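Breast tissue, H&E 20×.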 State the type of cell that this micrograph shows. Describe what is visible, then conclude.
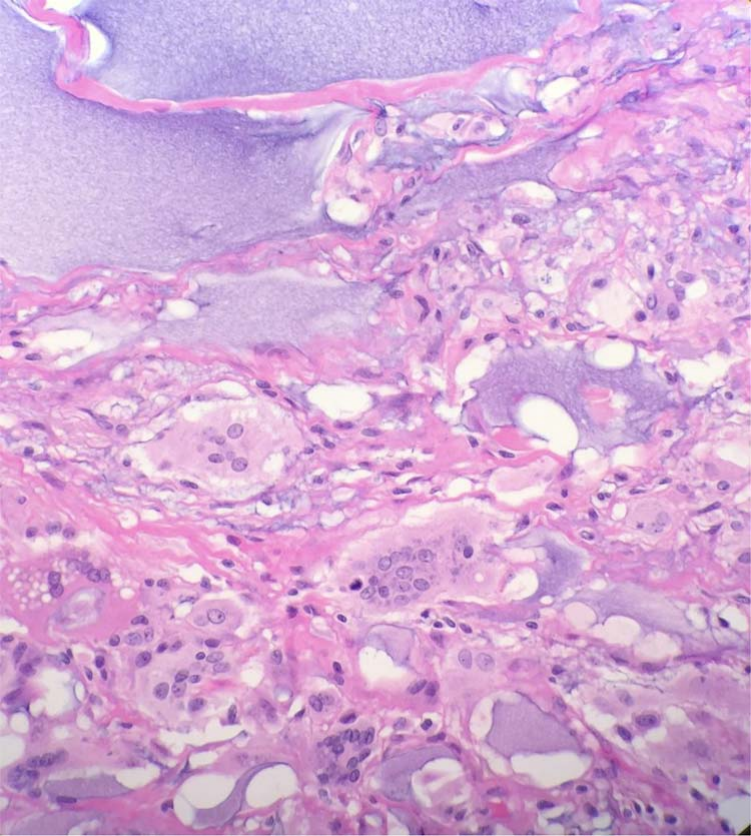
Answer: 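Large cells with abundant pink cytoplasm hold many oval nuclei clustered together. Several of these multinucleated cells sit next to pale purple amorphous material. That points to this answer: foreign body giant cells.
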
